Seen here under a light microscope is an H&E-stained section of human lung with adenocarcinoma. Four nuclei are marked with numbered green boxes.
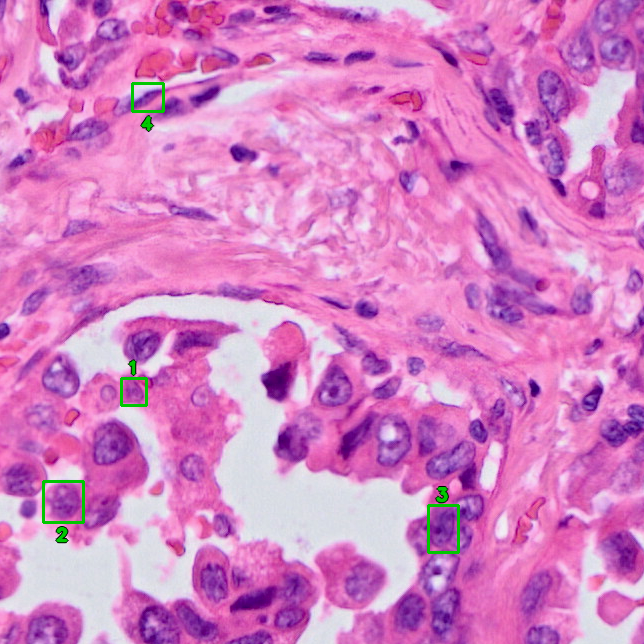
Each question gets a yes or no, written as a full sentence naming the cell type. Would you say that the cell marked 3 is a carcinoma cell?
Yes, it is a carcinoma cell that carries the number 3.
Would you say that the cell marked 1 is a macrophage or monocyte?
Yes, regarding number 1, the cell is a macrophage or monocyte.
